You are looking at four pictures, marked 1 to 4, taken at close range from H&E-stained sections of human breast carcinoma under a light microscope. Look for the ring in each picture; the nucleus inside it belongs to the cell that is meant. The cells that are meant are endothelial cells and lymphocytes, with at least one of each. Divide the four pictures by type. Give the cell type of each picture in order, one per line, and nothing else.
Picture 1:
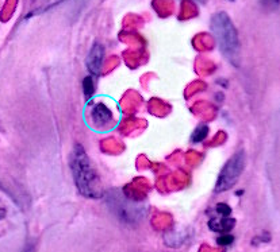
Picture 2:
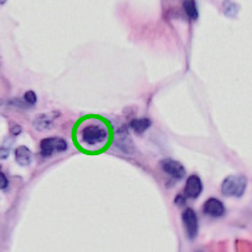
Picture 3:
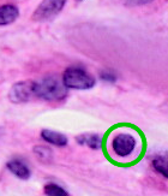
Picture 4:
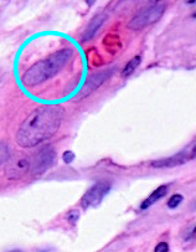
endothelial cell
lymphocyte
lymphocyte
endothelial cell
